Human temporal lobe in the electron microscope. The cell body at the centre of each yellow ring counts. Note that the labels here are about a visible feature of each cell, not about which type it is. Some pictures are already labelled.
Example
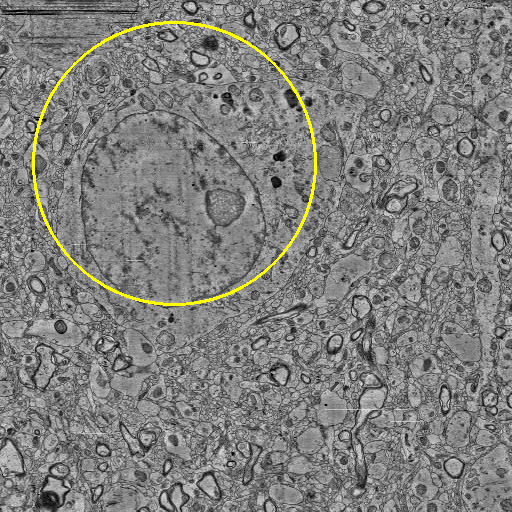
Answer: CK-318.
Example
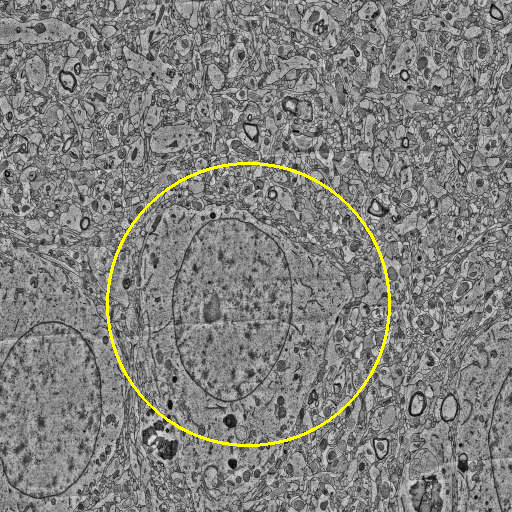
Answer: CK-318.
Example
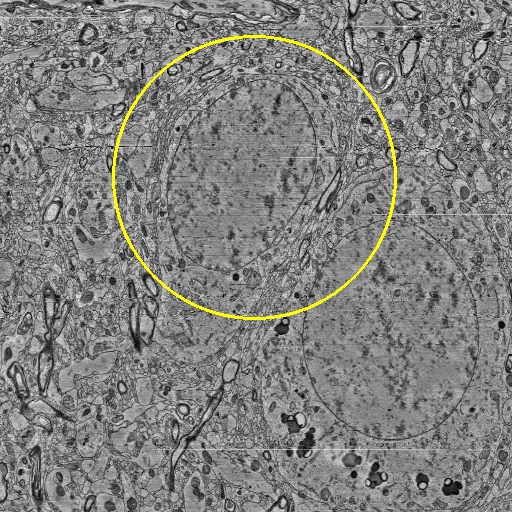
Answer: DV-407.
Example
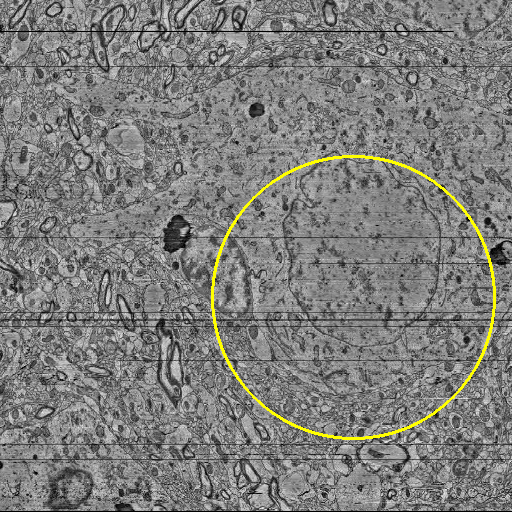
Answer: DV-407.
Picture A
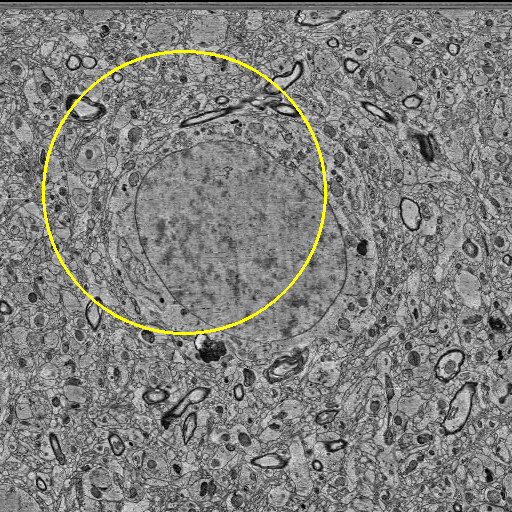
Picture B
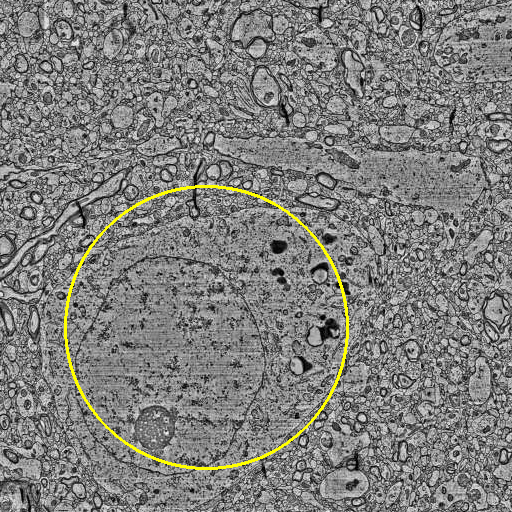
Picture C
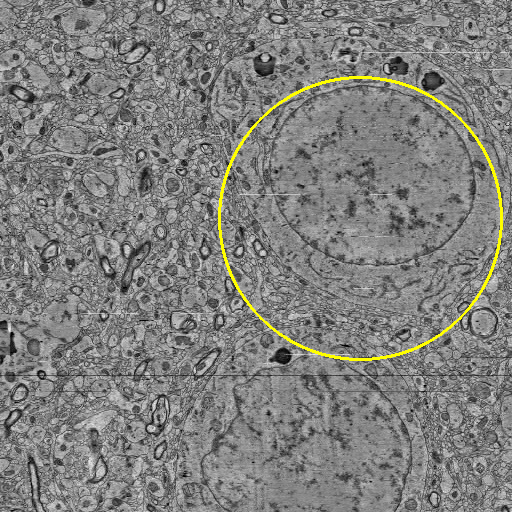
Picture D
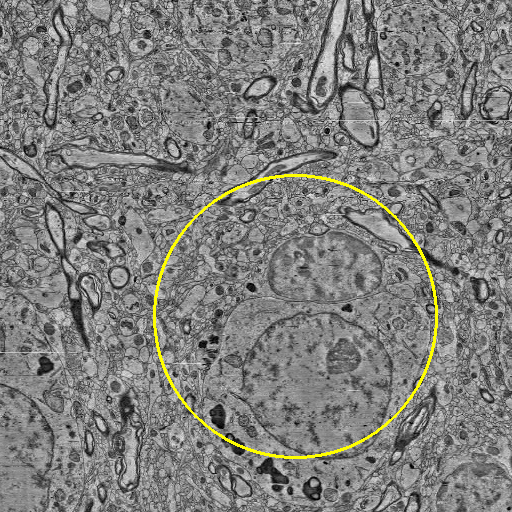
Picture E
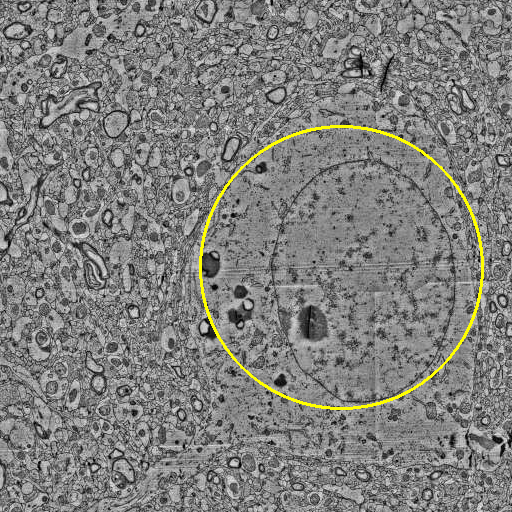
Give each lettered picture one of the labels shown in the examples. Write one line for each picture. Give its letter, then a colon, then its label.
A: DV-407.
B: CK-318.
C: DV-407.
D: CK-318.
E: CK-318.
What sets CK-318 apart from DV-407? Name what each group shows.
Seen in CK-318: nucleolus seen; seen in DV-407: no nucleolus seen.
